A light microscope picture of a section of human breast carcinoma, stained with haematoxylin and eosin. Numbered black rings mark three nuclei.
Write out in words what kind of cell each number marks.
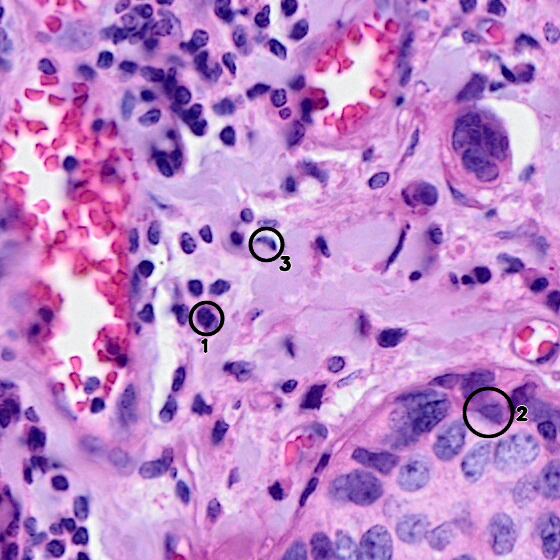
Cell 1 is a lymphocyte, cell 2 is a carcinoma cell and cell 3 is a lymphocyte.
